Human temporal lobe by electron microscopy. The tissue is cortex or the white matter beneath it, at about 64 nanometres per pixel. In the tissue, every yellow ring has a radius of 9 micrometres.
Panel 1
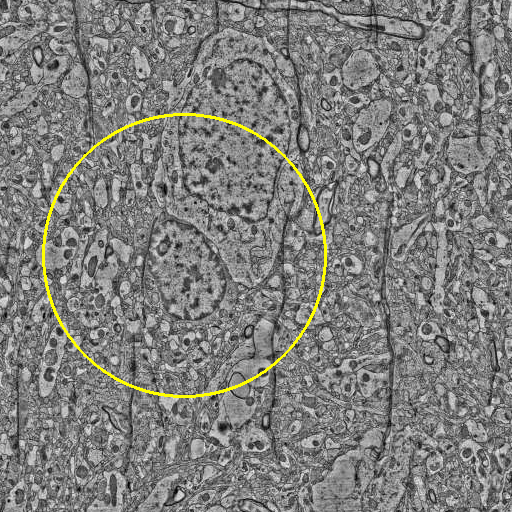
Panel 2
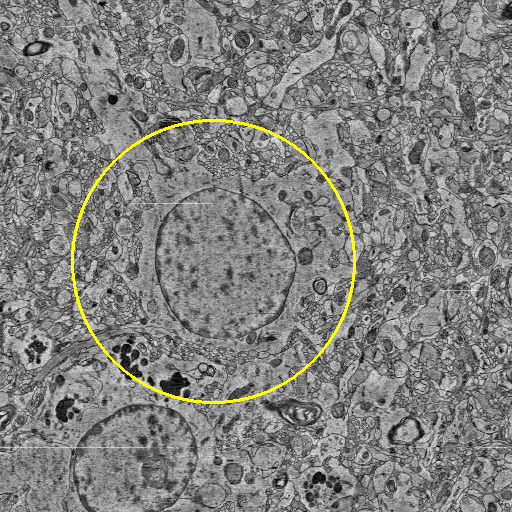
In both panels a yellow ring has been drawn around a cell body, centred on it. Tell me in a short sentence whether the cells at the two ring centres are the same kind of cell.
No, they are two kinds of cell.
